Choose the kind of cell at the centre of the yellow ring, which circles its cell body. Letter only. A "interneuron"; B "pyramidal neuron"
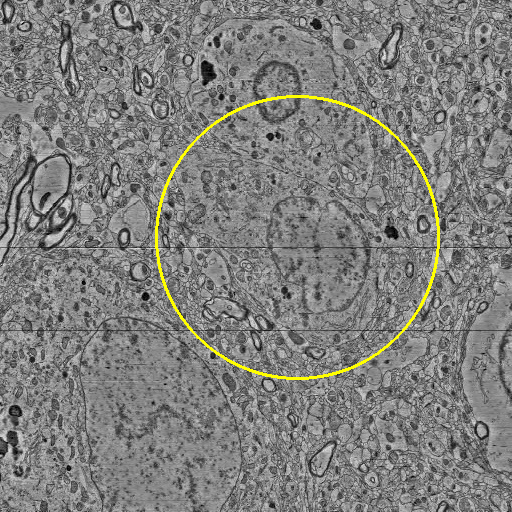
A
